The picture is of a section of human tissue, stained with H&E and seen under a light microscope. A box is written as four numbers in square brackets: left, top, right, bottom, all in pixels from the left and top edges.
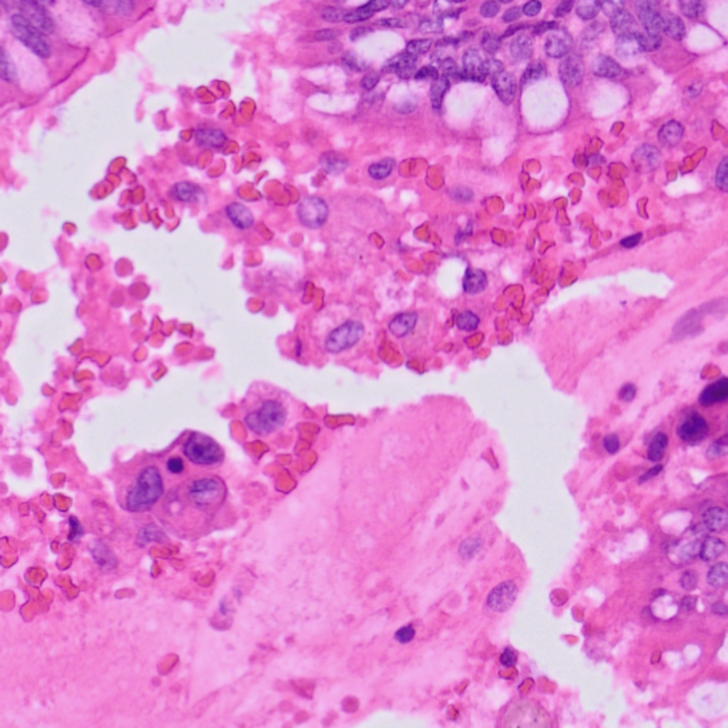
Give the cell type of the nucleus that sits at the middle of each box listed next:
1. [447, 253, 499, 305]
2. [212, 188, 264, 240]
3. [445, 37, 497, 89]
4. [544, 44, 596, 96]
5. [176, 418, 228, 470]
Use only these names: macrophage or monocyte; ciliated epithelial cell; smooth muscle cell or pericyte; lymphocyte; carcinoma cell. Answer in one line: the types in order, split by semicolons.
macrophage or monocyte; macrophage or monocyte; ciliated epithelial cell; ciliated epithelial cell; carcinoma cell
